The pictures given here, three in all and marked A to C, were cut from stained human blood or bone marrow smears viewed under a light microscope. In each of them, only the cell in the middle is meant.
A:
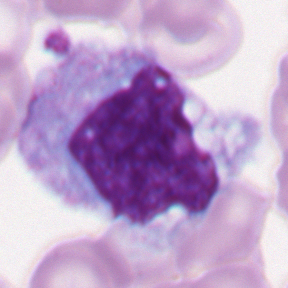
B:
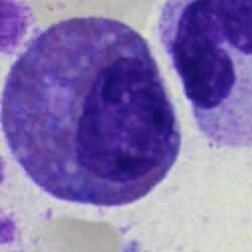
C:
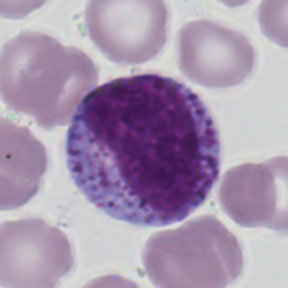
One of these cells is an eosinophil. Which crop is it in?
B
